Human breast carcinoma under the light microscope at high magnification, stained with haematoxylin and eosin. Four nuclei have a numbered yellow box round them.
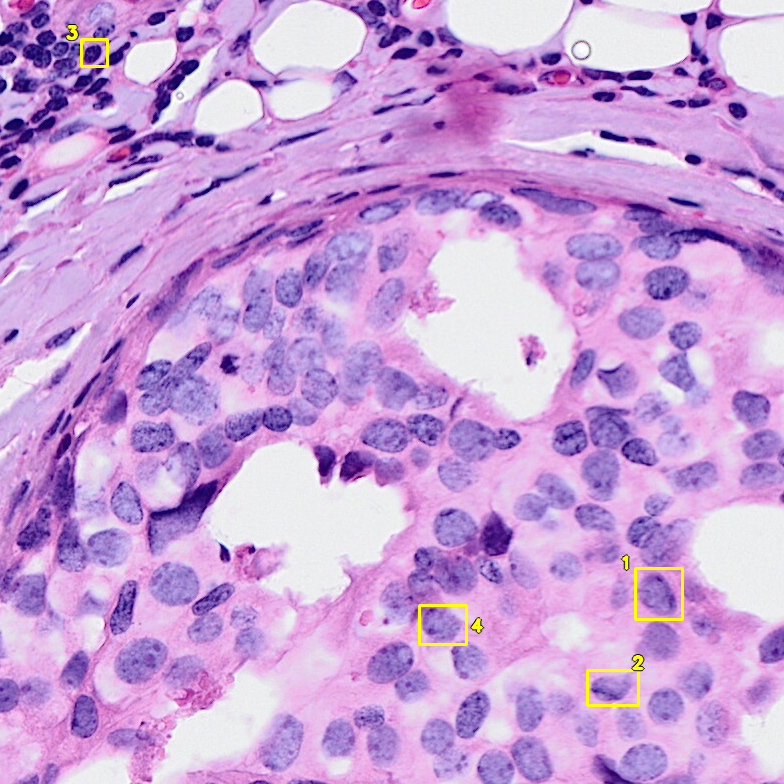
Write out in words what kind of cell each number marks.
Cells 1, 2 and 4 are carcinoma cells. Cell 3 is a lymphocyte.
